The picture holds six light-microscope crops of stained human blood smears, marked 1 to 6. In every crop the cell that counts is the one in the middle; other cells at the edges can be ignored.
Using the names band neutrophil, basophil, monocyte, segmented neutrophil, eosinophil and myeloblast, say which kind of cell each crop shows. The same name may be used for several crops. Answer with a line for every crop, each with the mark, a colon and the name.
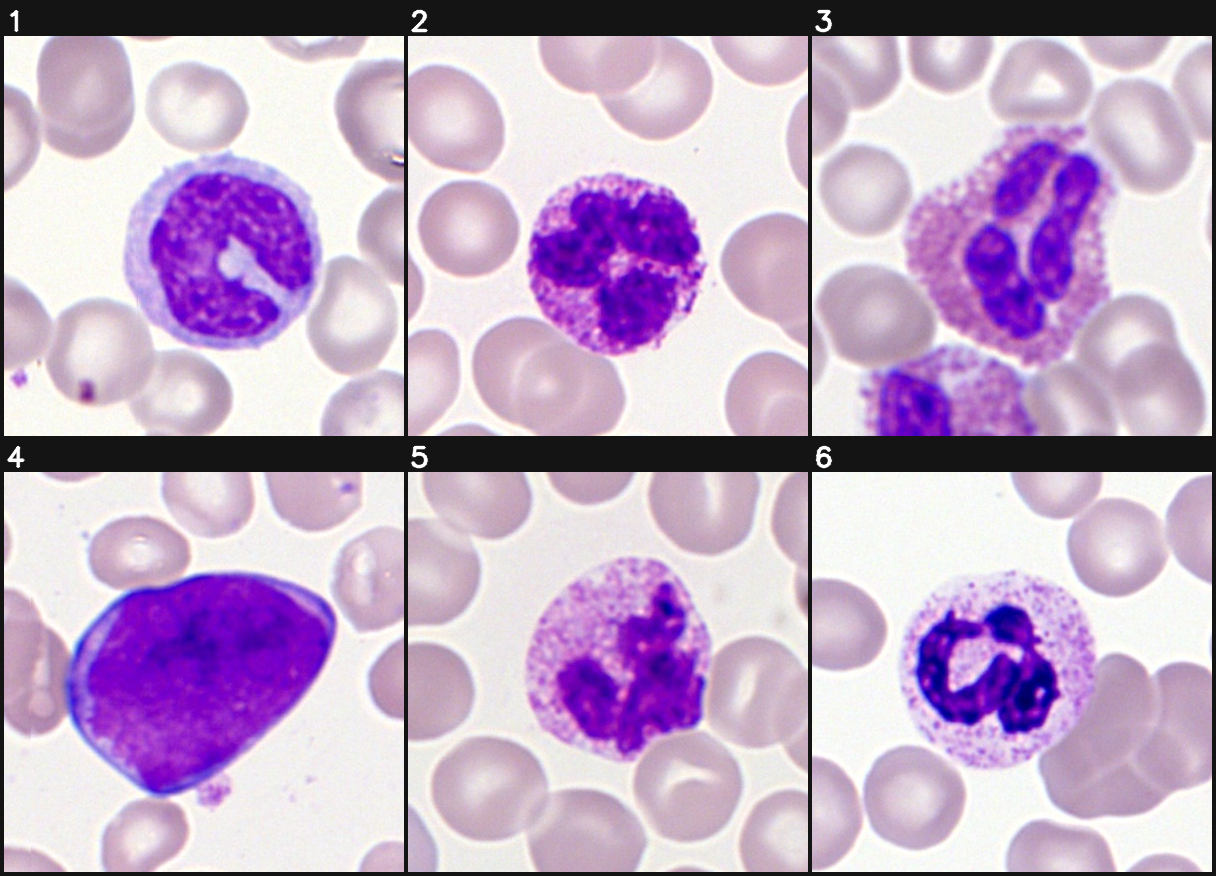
1: monocyte
2: basophil
3: eosinophil
4: myeloblast
5: basophil
6: segmented neutrophil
